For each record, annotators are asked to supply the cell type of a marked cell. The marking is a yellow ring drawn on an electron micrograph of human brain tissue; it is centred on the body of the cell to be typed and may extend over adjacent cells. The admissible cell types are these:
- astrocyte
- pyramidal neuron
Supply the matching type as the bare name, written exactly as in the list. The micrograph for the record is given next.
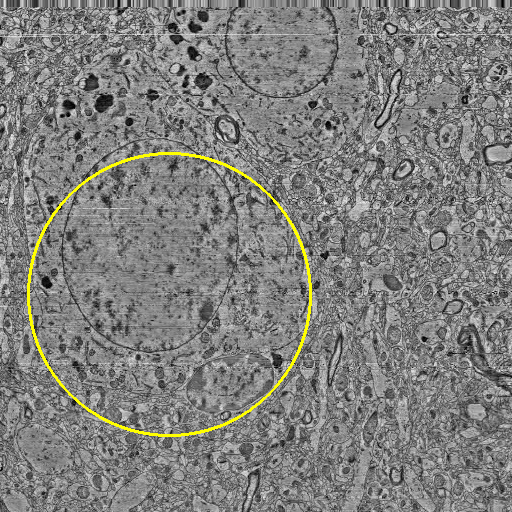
pyramidal neuron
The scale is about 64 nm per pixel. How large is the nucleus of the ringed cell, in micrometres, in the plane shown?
The nucleus comes to roughly 15 by 11 micrometres in this plane.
